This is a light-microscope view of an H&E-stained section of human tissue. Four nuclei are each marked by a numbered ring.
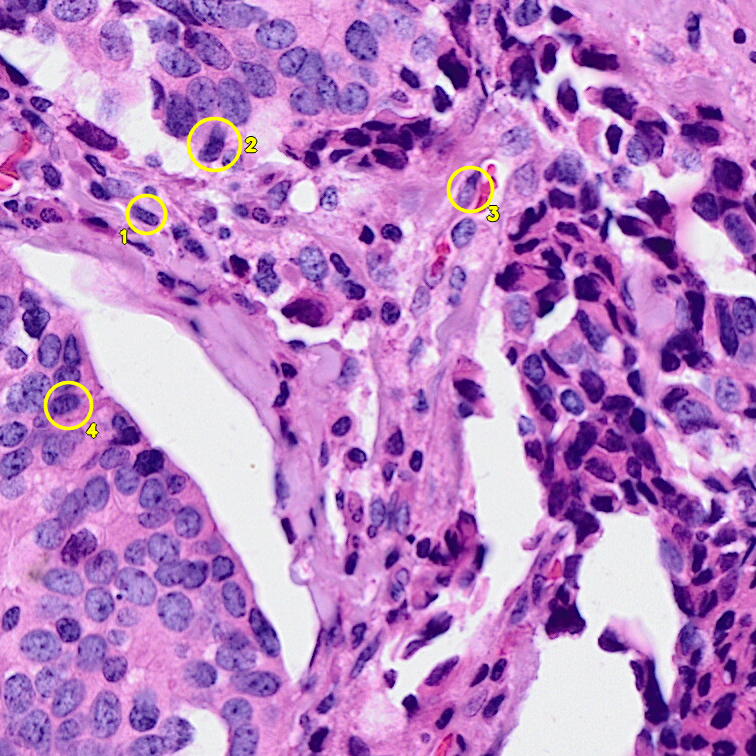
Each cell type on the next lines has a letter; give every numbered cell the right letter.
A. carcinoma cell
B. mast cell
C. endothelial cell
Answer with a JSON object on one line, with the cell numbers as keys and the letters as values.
{"1": "B", "2": "A", "3": "C", "4": "A"}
